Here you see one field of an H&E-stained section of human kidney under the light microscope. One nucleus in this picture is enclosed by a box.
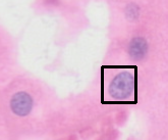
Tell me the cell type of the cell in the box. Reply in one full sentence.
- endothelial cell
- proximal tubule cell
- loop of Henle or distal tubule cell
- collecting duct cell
The cell in the box appears to be a proximal tubule cell.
